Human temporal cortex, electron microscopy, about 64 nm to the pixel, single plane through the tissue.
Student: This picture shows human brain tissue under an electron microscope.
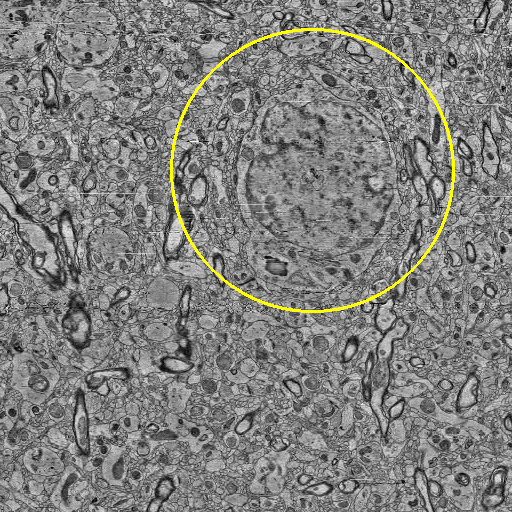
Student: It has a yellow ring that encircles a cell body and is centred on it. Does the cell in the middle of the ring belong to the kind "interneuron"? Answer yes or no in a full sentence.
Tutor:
Yes, the cell in the middle of the ring in this picture is of that kind.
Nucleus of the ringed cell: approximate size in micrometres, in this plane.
In this plane, the nucleus measures approximately 10 micrometres across.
